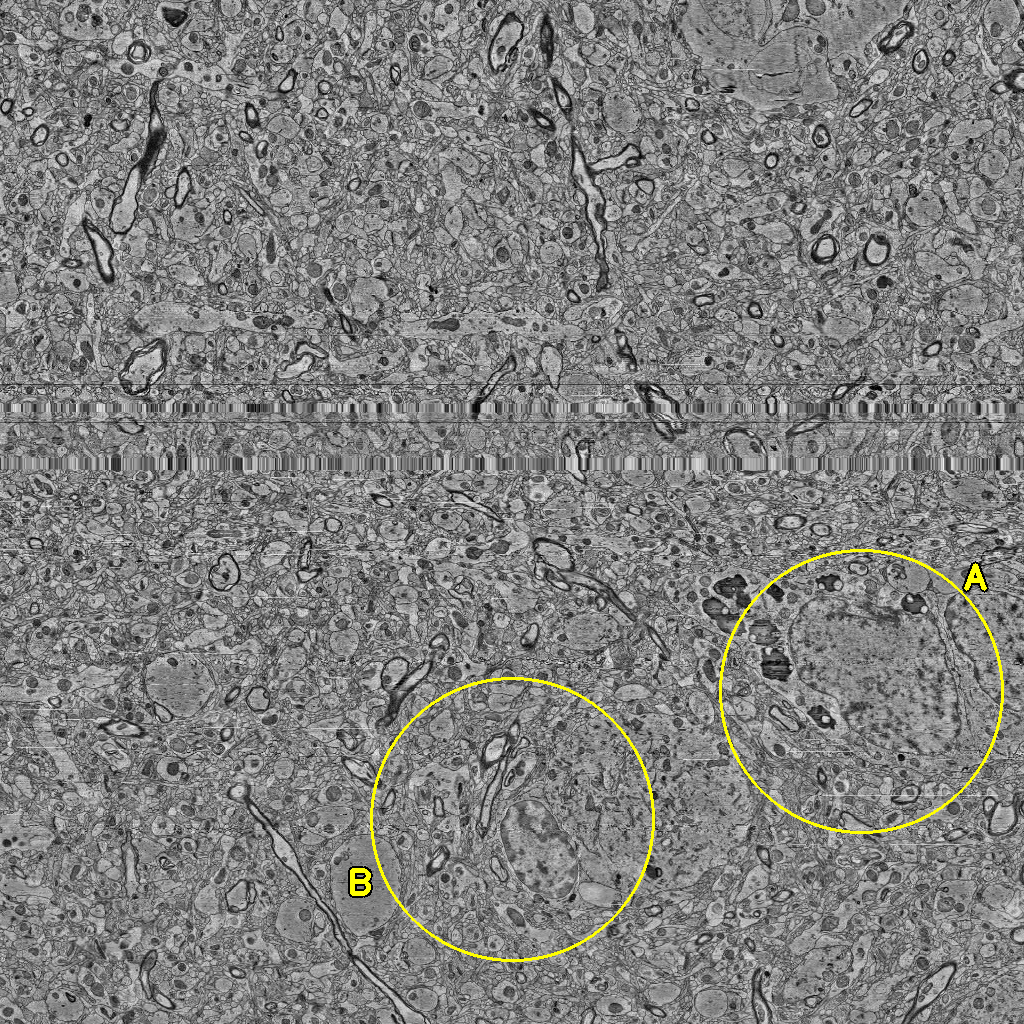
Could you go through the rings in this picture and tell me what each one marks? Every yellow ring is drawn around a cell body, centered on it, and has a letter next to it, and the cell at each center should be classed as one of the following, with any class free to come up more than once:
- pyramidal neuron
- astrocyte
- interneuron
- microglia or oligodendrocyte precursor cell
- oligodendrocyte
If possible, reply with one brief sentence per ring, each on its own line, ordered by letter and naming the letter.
The cell centered in ring A is an interneuron.
The cell centered in ring B is a microglial cell or oligodendrocyte precursor cell.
